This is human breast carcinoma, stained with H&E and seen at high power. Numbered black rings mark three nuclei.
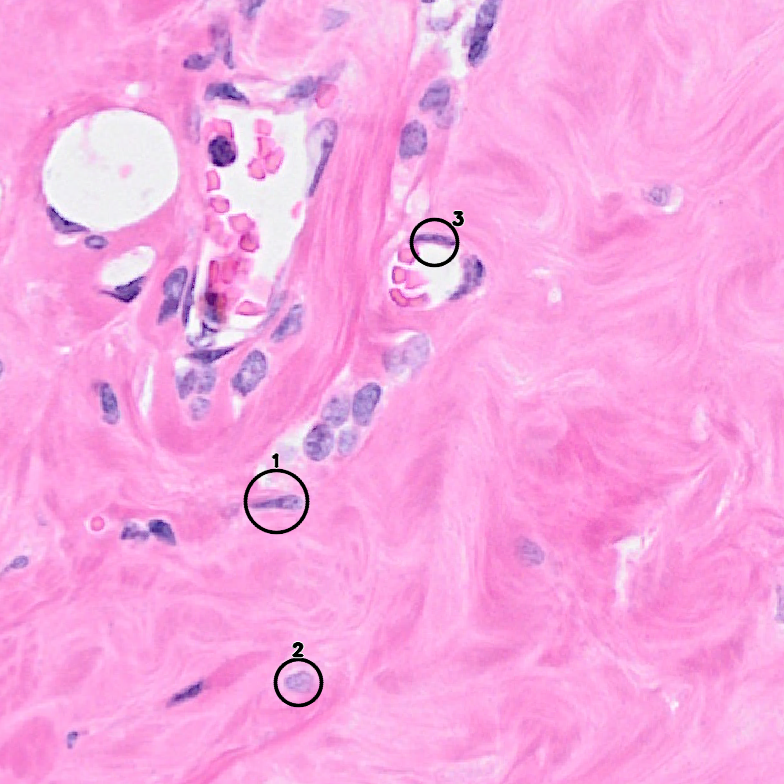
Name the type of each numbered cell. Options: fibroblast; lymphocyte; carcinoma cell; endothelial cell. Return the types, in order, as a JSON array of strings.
["fibroblast", "fibroblast", "endothelial cell"]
